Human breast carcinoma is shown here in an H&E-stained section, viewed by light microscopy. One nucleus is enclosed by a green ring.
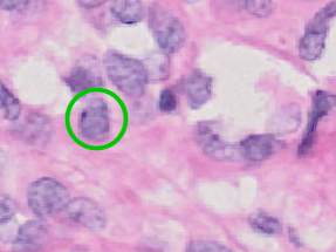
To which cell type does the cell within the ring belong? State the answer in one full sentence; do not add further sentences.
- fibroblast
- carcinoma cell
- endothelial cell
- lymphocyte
At the level of cell identity, the cell within the ring is a carcinoma cell.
